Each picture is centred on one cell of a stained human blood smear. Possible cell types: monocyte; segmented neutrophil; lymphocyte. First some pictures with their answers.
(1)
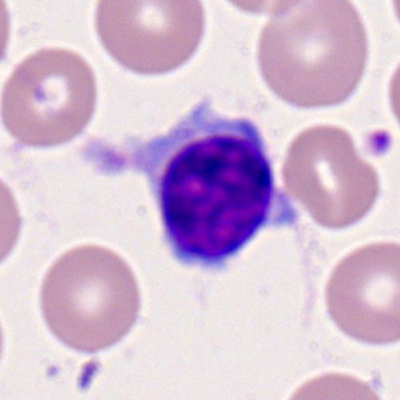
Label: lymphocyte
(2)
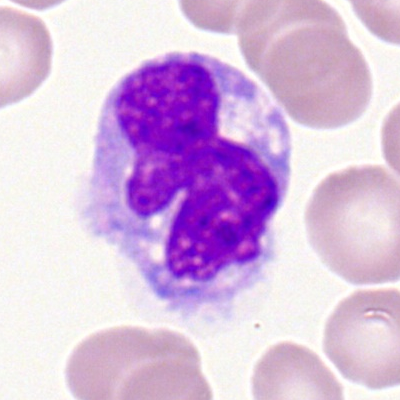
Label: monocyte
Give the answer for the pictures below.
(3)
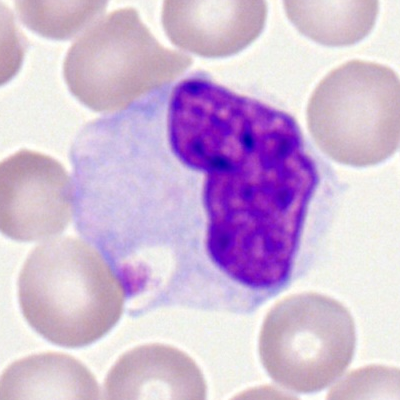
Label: monocyte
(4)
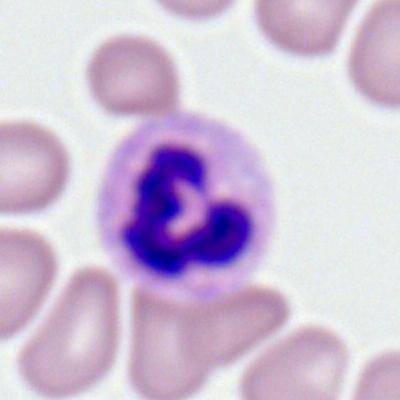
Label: segmented neutrophil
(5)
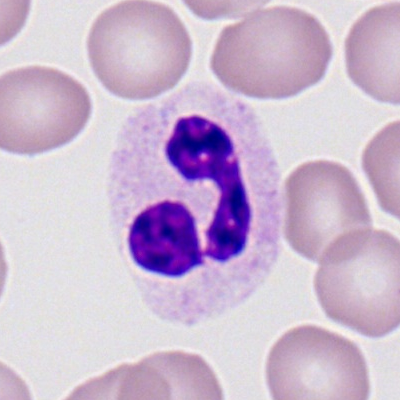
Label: segmented neutrophil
